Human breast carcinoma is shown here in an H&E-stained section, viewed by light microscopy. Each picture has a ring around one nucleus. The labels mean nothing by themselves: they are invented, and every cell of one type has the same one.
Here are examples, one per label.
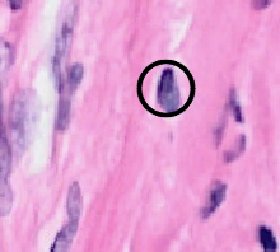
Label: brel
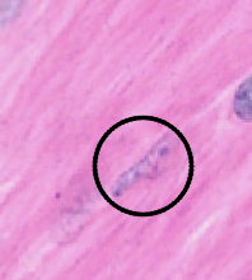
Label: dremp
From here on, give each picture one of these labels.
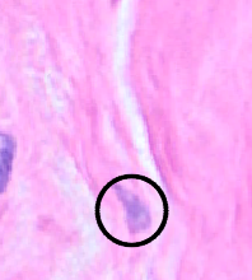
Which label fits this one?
dremp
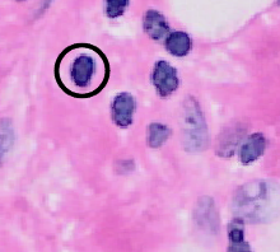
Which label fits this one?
brel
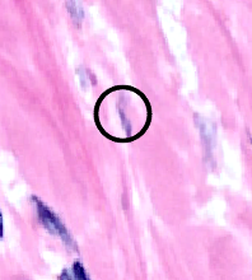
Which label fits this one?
dremp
